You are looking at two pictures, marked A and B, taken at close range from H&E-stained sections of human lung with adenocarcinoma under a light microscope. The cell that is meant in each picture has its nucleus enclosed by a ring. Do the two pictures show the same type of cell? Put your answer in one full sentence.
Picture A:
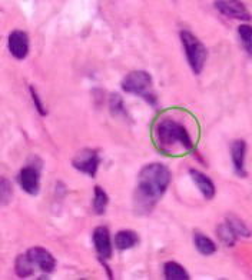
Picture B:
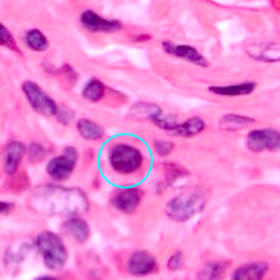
Yes, both are plasma cells.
